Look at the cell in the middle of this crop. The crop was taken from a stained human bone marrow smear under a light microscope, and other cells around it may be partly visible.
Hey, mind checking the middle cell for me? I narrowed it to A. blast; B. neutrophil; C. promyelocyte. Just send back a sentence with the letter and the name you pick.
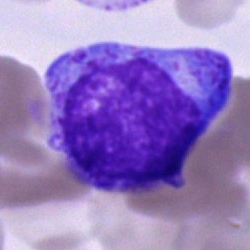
The middle of the crop holds a promyelocyte, which points to option C.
